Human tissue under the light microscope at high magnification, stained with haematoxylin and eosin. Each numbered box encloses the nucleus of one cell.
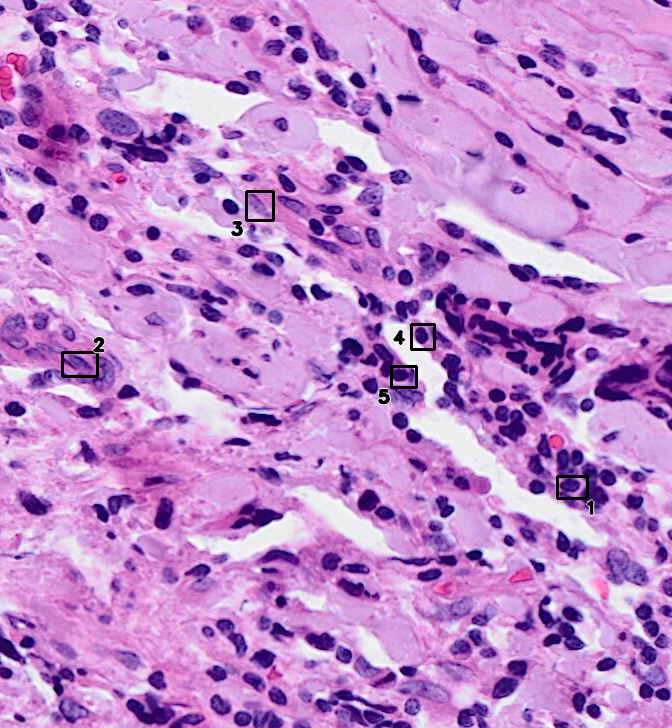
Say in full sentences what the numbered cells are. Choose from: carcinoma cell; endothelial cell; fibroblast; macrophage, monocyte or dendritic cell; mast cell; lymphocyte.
Cell 1 is a lymphocyte, cell 2 is an endothelial cell, cell 3 is an endothelial cell, cell 4 is a lymphocyte and cell 5 is a lymphocyte.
